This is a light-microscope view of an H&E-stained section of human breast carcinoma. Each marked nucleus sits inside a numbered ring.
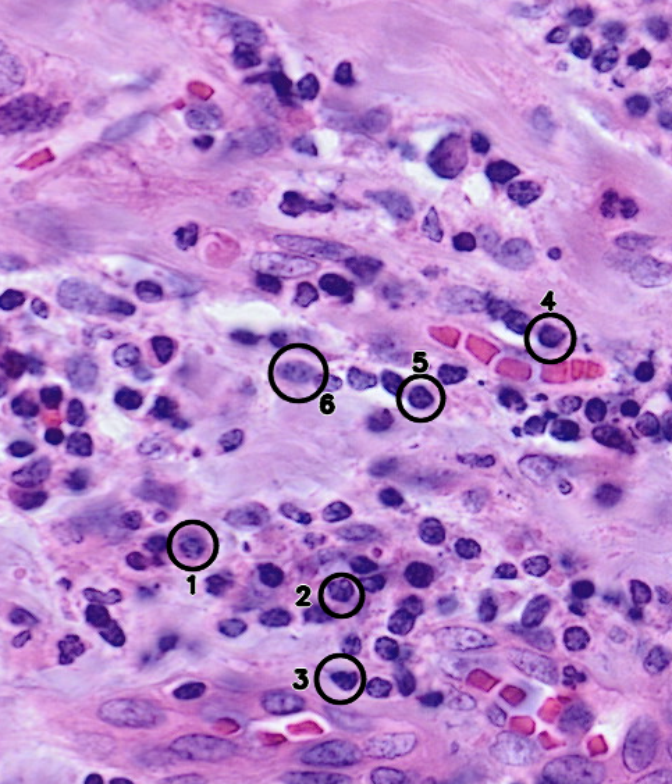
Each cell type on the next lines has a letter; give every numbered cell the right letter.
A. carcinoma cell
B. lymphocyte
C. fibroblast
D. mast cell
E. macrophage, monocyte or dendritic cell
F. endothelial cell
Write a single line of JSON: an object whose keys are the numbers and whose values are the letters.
{"1": "D", "2": "B", "3": "B", "4": "B", "5": "B", "6": "D"}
